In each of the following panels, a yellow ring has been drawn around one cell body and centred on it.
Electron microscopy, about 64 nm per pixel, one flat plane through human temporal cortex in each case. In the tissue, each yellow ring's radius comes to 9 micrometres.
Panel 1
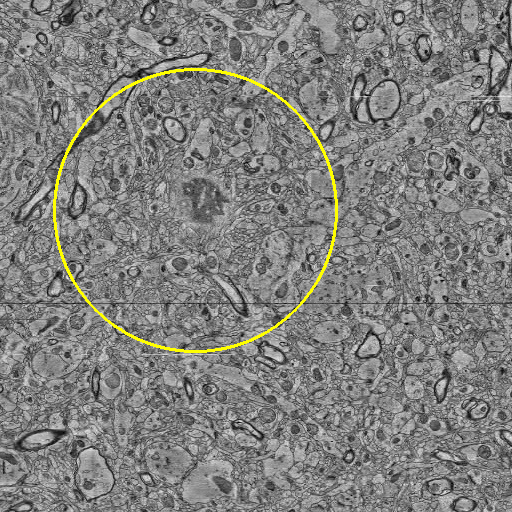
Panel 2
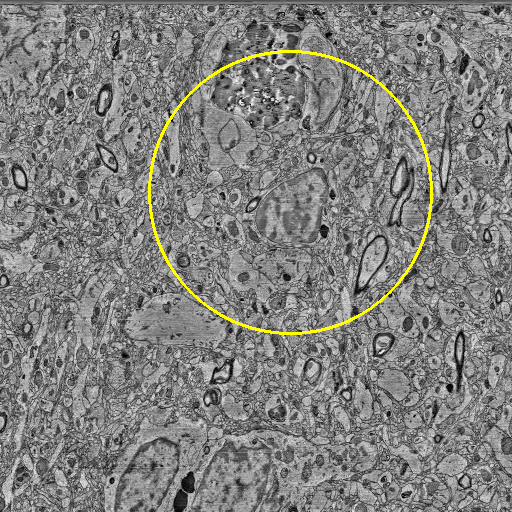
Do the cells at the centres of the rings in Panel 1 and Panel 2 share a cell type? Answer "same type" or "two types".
two types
